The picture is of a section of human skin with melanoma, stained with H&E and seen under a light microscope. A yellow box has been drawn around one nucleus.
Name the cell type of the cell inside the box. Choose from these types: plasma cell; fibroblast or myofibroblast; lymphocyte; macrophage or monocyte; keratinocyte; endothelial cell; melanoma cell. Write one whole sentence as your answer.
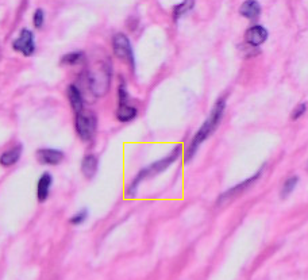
In this tissue section, the cell inside the box is to be classed as a fibroblast or myofibroblast.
